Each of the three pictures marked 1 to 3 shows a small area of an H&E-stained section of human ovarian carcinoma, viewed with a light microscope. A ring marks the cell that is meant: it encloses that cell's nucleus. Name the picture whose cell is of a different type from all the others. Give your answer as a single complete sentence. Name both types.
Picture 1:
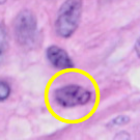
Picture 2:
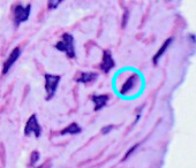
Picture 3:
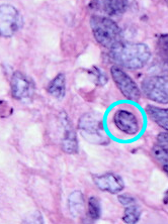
Picture 2 differs, because its cell is a fibroblast and the rest are “macrophages or monocytes”.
